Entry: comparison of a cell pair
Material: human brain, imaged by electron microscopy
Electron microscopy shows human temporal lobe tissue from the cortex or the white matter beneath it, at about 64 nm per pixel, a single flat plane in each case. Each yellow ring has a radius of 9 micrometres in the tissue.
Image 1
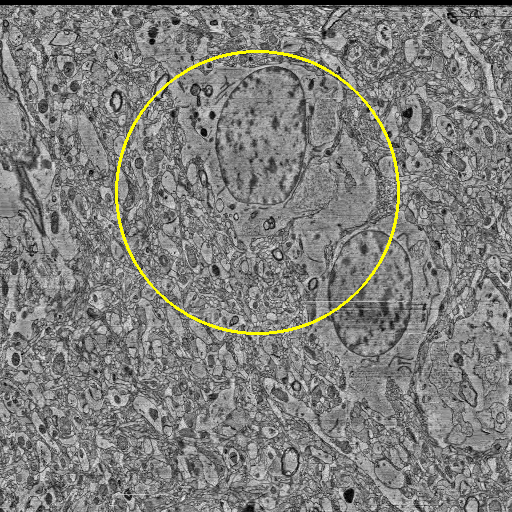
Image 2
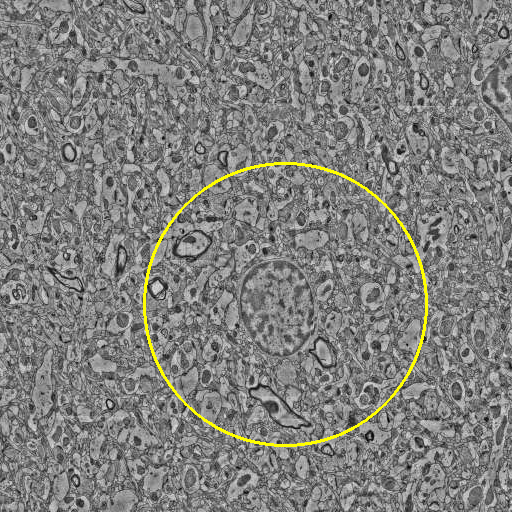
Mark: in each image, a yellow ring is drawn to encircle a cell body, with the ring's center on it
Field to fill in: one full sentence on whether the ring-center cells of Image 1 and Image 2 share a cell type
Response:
No, Image 1 and Image 2 show ring-center cells of two separate types.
